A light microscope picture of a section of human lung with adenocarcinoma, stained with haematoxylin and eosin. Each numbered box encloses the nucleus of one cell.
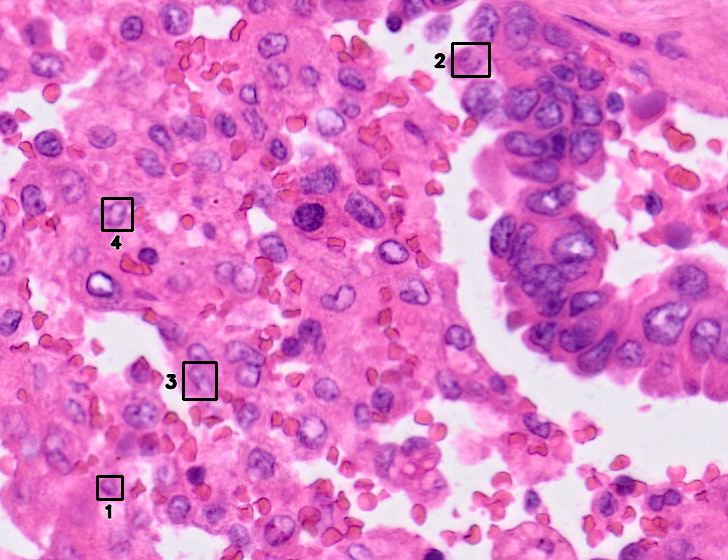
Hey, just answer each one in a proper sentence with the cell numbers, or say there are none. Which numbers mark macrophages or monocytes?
The cells shown with numbers 1, 3 and 4 are macrophages or monocytes.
